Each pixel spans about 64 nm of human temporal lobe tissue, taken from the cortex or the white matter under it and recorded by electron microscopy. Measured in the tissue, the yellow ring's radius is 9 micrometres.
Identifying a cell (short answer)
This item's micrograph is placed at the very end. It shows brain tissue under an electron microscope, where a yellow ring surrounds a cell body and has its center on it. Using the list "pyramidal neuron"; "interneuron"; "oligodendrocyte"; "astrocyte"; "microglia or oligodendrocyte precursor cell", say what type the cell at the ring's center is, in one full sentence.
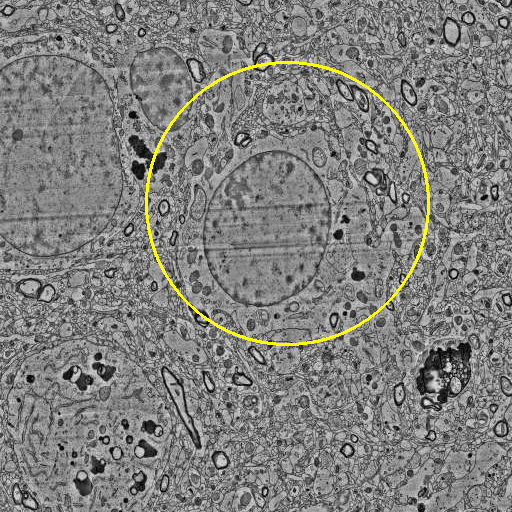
This picture shows an astrocyte at the center of the yellow ring drawn on it.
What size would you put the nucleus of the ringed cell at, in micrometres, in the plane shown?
In this plane, the nucleus is roughly 10 by 8 micrometres.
